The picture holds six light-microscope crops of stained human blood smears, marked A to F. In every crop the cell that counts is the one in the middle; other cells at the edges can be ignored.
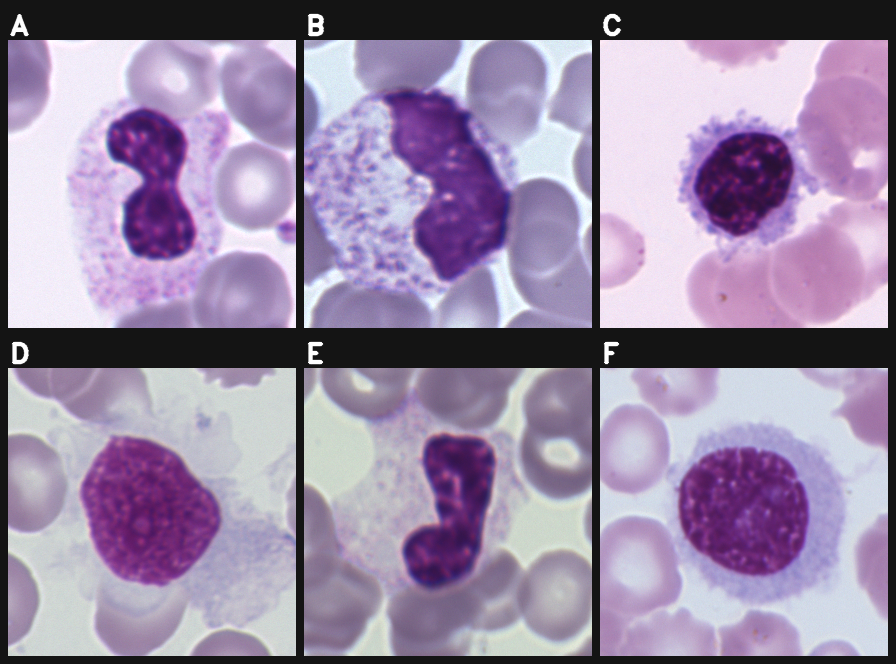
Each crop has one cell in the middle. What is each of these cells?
A: band neutrophil
B: band neutrophil
C: hairy cell
D: hairy cell
E: band neutrophil
F: hairy cell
